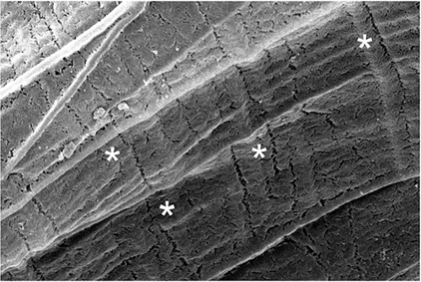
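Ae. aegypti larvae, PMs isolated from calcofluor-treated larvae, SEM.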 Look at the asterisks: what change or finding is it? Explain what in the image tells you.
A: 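Dark jagged splits interrupt the surface.
Cracks.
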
